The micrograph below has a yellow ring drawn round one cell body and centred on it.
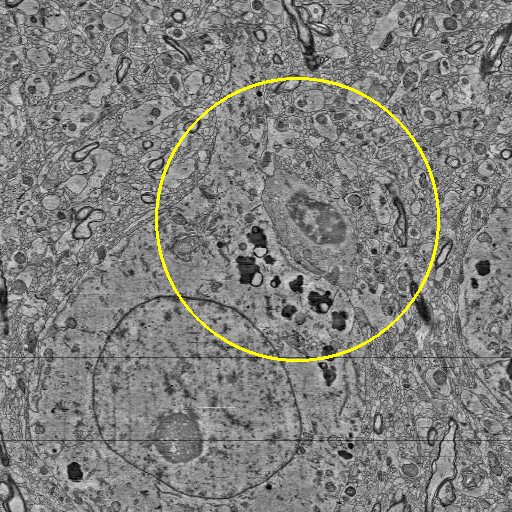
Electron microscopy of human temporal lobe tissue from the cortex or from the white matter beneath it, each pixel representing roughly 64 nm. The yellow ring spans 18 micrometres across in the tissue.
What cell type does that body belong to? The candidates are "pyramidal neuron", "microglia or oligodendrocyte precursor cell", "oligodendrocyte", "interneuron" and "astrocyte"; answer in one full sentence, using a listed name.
This is an oligodendrocyte, the cell whose body lies at the centre of the ring.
